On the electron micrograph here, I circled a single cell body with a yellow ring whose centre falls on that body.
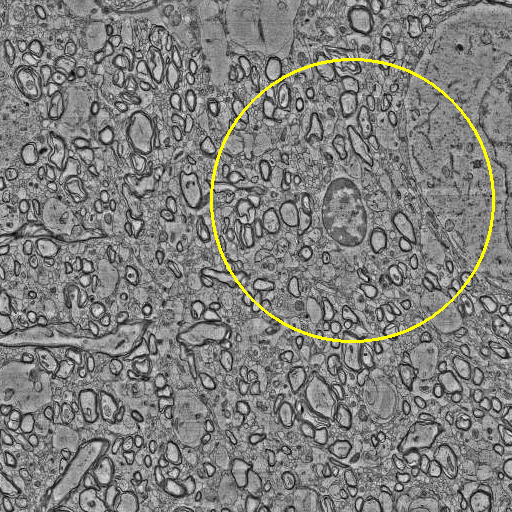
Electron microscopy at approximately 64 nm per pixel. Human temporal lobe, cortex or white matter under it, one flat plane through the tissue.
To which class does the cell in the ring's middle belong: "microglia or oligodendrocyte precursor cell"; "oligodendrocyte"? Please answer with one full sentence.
In this picture, the cell body circled at the ring's centre belongs to a microglial cell or oligodendrocyte precursor cell.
